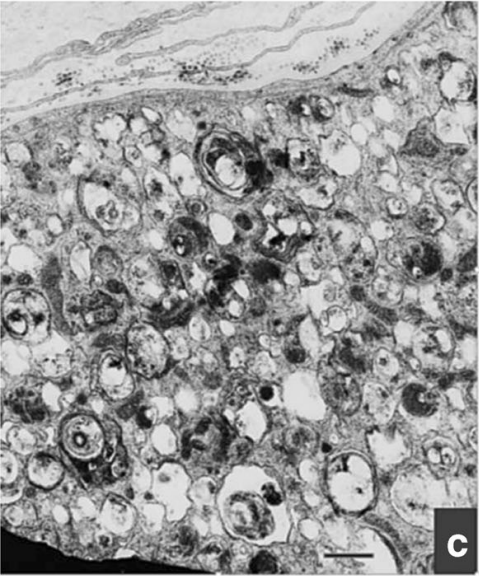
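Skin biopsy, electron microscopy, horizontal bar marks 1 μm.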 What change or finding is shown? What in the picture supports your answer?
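The cytoplasm is crowded with rounded bodies of varied density. Several bodies show concentric lamellar membranes.
Answer: membranous cytoplasmic bodies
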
